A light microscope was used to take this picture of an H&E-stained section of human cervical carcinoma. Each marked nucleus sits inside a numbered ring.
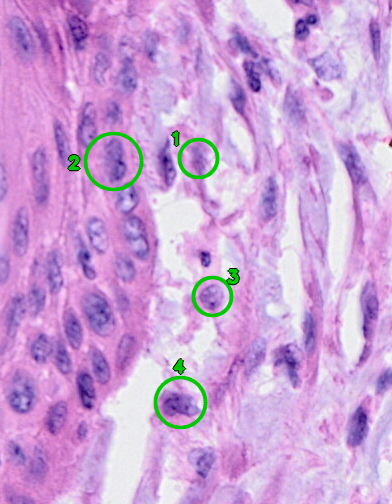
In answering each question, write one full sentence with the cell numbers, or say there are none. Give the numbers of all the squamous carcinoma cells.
Only nucleus 2 belongs to a squamous carcinoma cell; the other numbered nuclei do not.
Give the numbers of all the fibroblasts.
No marked cell except number 1 is a fibroblast.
